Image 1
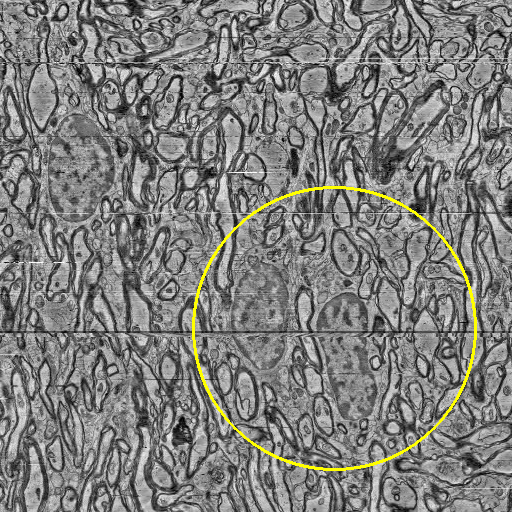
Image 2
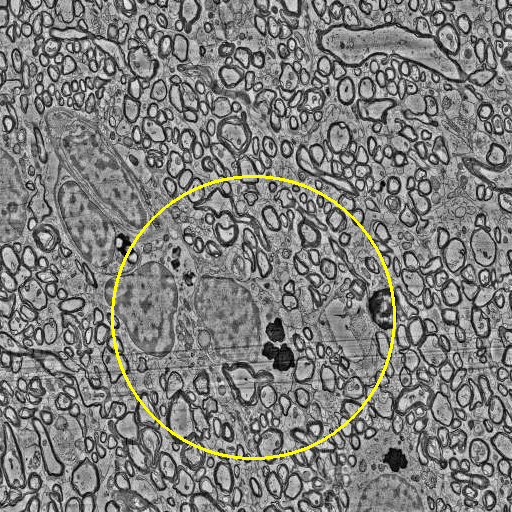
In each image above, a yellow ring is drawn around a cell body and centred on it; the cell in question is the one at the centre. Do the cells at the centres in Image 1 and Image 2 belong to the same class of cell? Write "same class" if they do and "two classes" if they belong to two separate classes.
two classes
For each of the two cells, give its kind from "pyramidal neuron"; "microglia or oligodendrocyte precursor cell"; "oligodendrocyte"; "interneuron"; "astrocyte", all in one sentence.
The first picture has an oligodendrocyte in its ring, the second has a microglial cell or oligodendrocyte precursor cell.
